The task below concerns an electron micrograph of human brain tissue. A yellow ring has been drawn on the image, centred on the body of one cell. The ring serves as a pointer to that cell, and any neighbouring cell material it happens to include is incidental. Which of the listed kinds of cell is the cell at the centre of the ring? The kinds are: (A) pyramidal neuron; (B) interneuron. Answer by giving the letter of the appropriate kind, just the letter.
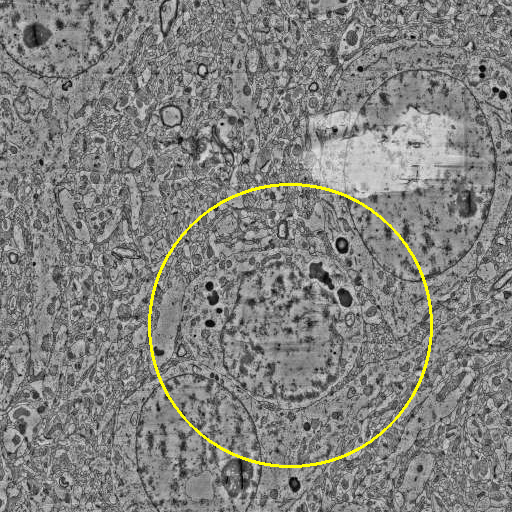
B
